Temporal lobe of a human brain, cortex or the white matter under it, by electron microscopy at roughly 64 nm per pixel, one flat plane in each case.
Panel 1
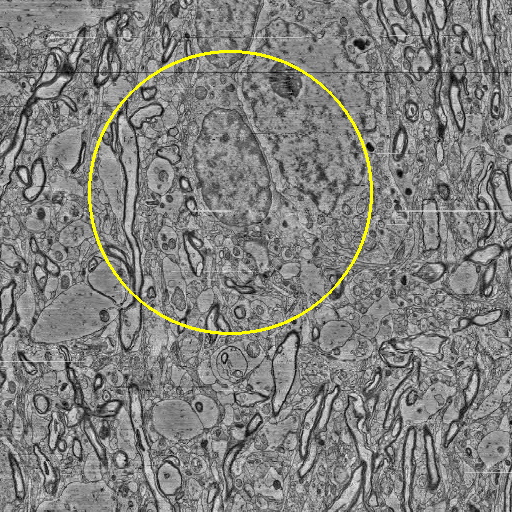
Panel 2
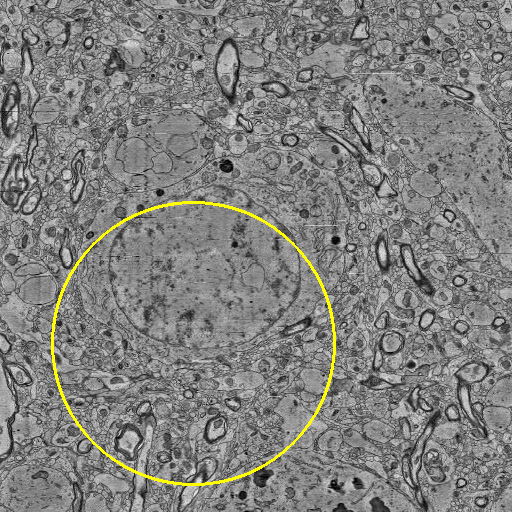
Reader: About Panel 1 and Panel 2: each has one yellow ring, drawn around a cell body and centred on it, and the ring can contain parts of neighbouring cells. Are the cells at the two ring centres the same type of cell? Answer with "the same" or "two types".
two types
